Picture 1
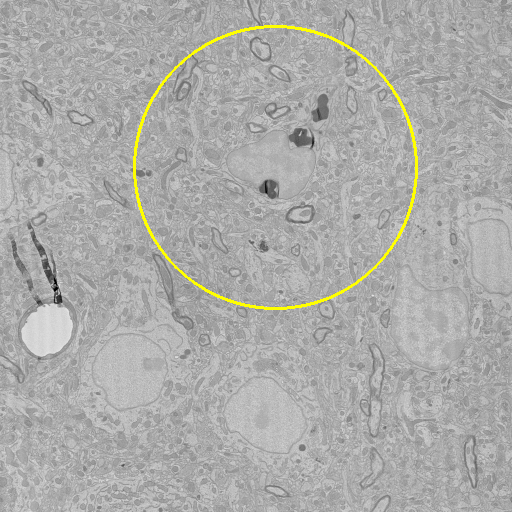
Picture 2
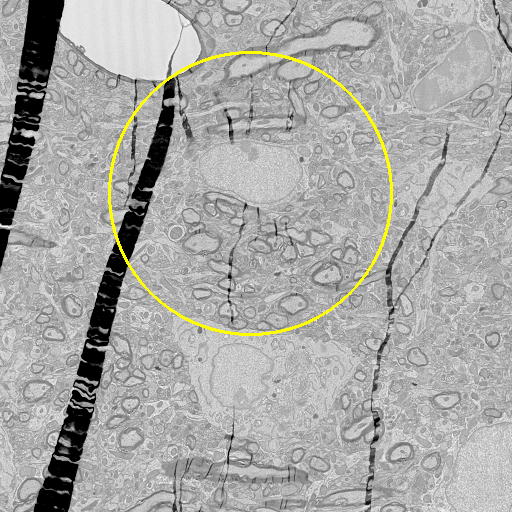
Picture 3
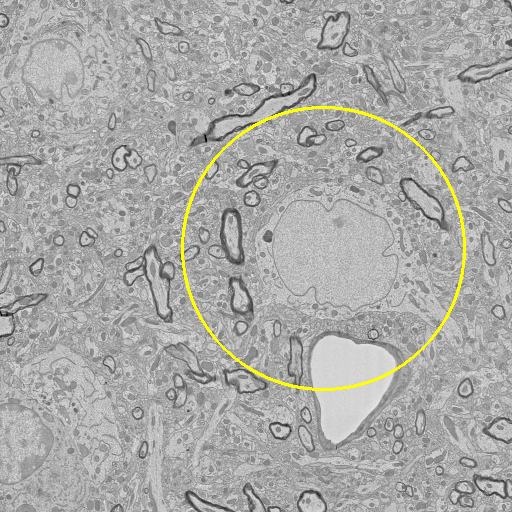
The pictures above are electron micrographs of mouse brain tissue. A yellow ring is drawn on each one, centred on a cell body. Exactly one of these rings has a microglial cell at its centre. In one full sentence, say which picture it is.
Picture 1 has it at the centre of its ring.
